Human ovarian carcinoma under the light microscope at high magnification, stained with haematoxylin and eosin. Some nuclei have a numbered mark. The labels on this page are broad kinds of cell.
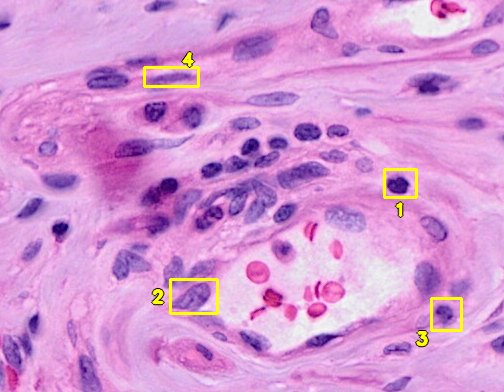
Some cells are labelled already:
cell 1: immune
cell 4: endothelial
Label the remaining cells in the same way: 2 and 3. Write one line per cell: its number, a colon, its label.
2: endothelial
3: immune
